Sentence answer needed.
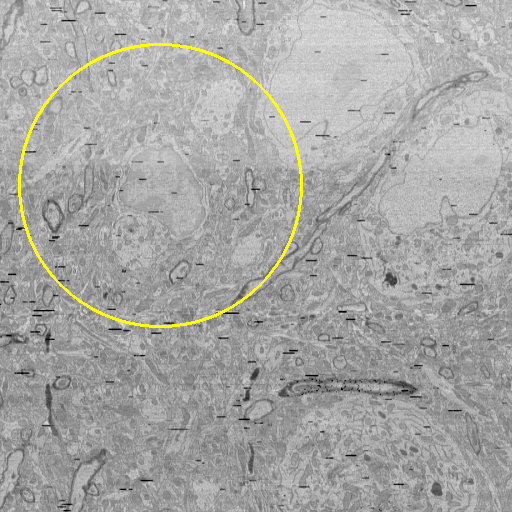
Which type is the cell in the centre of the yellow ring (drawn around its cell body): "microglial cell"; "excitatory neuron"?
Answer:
In the centre of the yellow ring is a microglial cell.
